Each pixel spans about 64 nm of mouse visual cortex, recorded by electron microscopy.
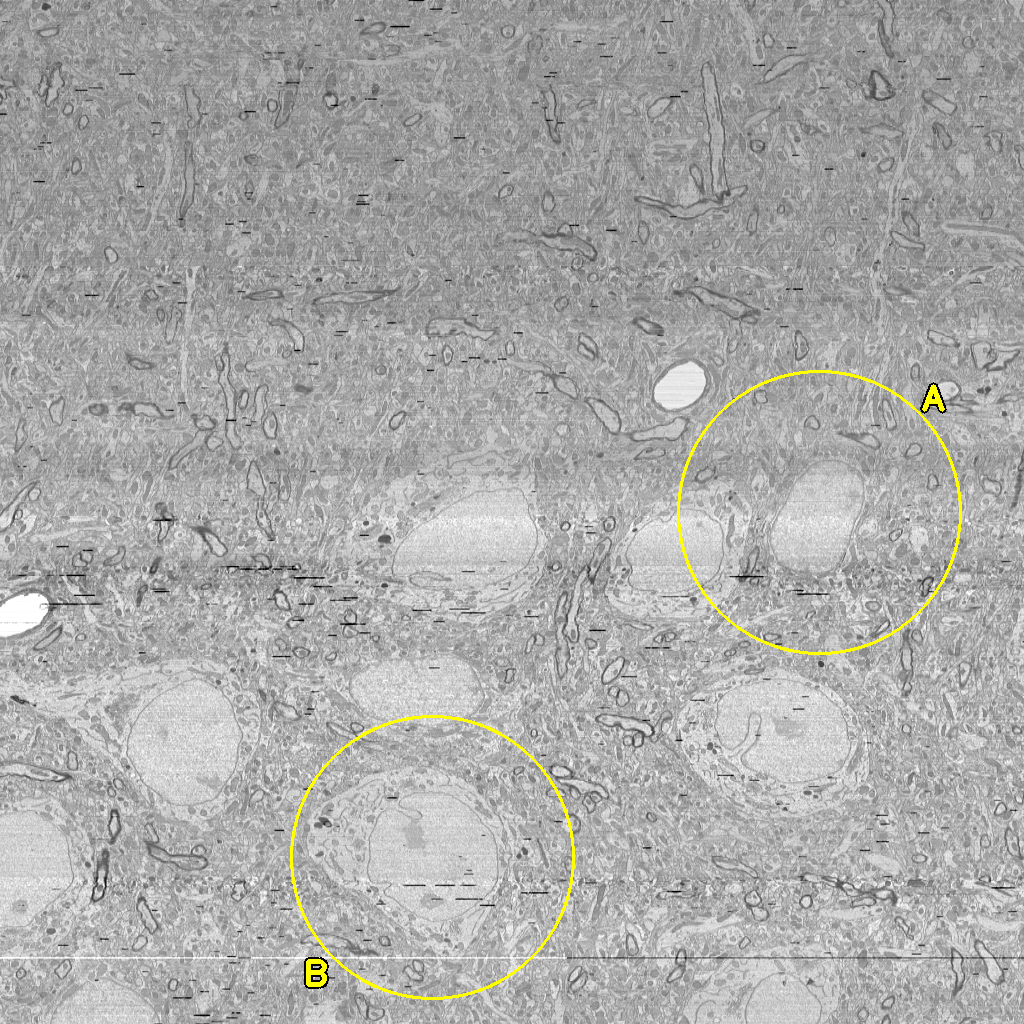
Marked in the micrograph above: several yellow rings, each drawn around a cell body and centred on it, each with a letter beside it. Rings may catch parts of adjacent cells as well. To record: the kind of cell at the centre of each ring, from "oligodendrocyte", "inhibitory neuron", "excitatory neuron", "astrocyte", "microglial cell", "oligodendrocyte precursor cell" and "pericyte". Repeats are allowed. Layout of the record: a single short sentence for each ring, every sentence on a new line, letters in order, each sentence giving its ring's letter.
At the centre of ring A lies an astrocyte.
At the centre of ring B lies an excitatory neuron.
